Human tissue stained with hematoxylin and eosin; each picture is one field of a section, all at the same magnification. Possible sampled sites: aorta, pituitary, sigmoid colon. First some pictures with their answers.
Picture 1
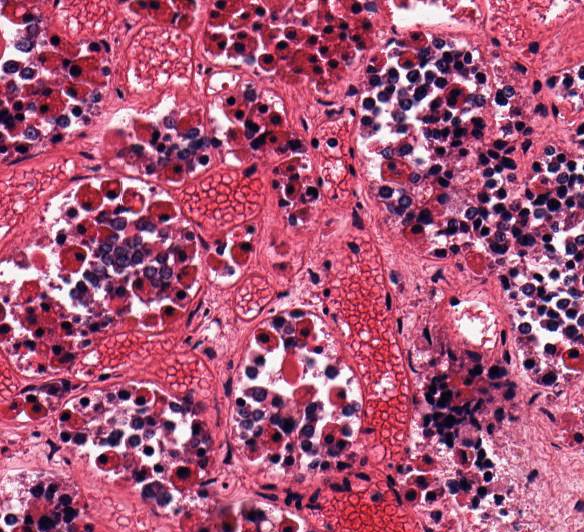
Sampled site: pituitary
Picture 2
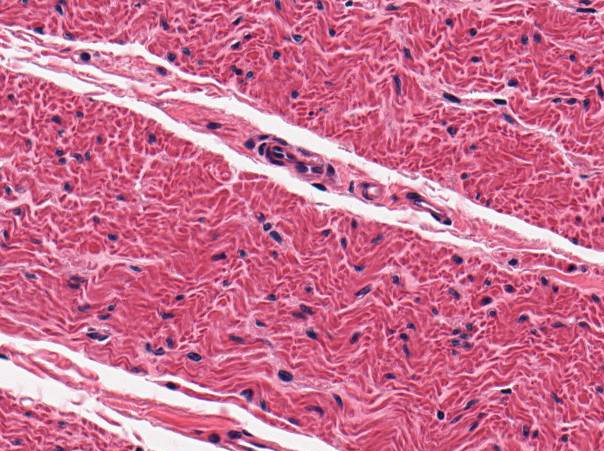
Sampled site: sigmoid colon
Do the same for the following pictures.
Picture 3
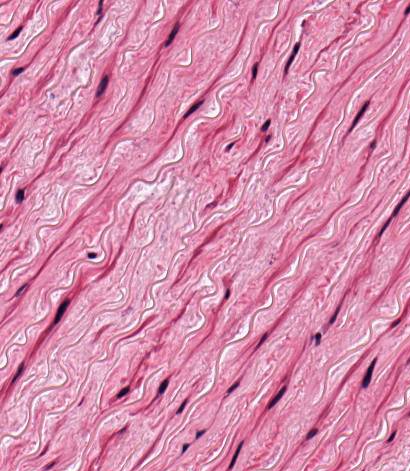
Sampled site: aorta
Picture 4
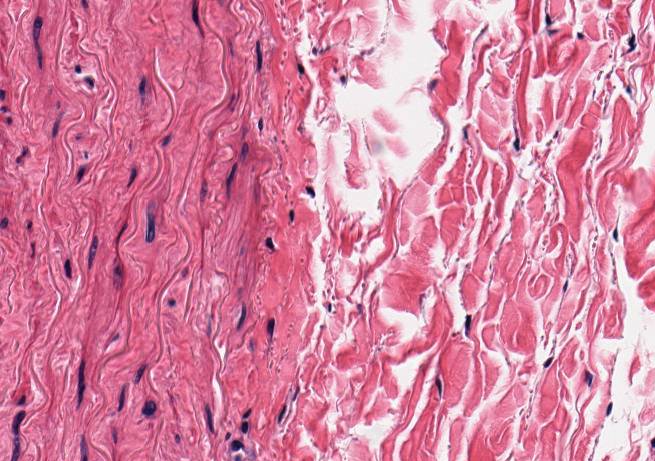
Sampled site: aorta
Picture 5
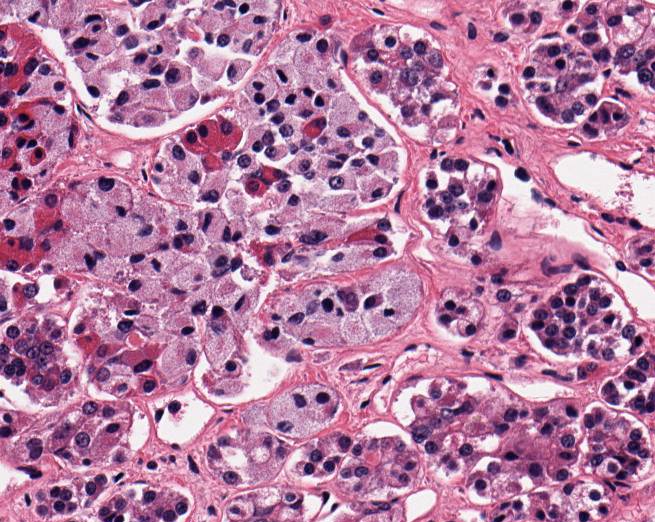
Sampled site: pituitary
